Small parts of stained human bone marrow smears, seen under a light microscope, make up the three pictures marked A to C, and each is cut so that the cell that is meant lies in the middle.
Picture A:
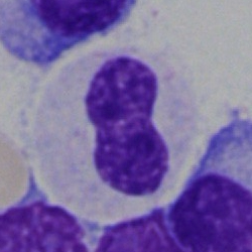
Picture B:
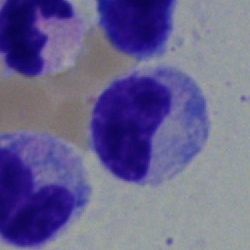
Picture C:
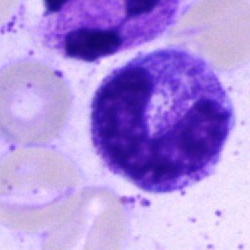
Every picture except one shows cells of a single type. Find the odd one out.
B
